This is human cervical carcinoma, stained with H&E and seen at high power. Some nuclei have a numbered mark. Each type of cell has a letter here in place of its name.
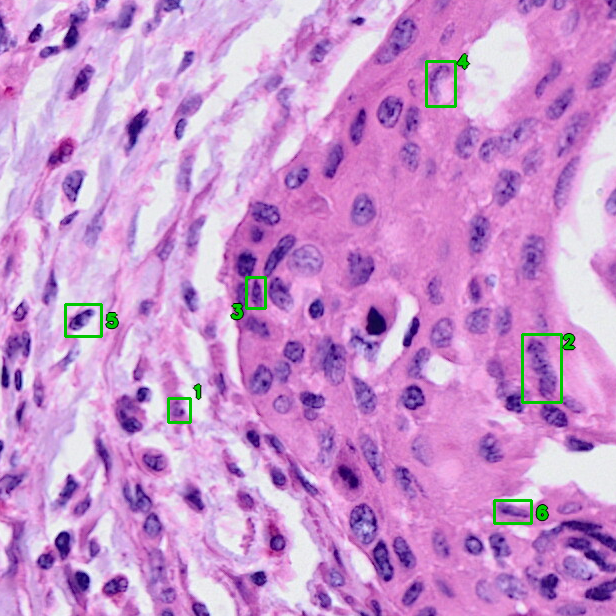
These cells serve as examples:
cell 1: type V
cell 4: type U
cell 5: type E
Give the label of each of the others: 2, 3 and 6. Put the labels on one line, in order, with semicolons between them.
type U; type U; type U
